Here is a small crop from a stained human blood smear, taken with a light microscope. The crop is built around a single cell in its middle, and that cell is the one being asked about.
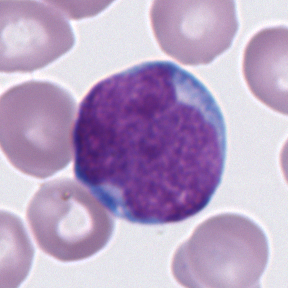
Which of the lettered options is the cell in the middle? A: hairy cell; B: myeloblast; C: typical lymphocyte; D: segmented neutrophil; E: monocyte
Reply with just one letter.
B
